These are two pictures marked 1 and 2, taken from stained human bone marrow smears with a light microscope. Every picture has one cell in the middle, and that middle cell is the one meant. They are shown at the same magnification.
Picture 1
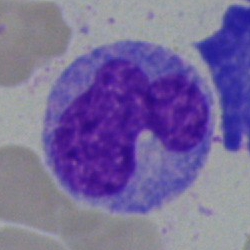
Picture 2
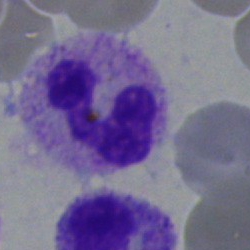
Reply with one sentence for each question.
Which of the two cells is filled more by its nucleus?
It is the cell in picture 1 that is filled more by its nucleus.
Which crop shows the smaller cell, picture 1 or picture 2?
Smaller is the cell in picture 2, and the other is about 1.5 times as large in area.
